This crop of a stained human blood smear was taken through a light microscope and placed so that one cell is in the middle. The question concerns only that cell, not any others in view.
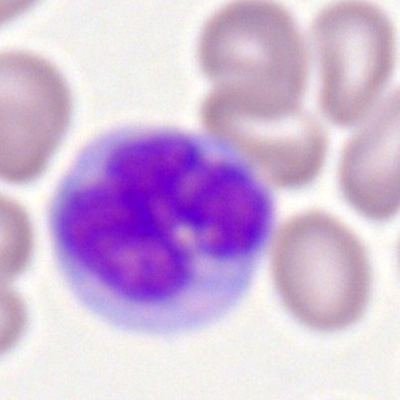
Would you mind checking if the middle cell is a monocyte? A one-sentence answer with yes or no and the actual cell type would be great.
Yes, that middle cell in the crop is a monocyte.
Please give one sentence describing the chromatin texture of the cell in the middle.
In this nucleus, the chromatin is arranged in coarse clumps.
